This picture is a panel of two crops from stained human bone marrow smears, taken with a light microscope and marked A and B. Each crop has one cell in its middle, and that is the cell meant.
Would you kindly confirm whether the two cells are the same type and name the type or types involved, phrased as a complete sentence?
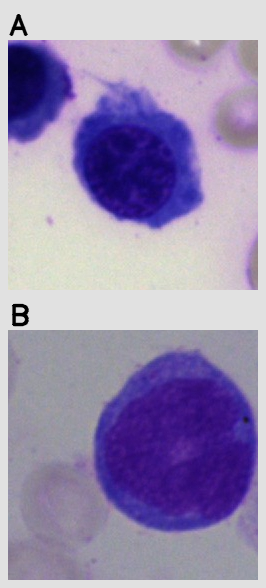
No, an erythroblast lies at the centre of crop A, and a blast lies at the centre of crop B.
